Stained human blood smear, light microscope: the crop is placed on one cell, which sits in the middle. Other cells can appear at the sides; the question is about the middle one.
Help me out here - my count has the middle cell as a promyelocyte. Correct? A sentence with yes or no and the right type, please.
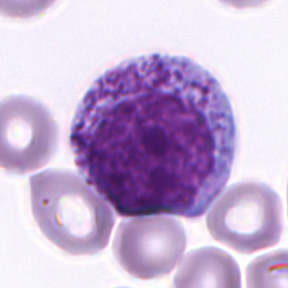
No, the central cell is classed as a myelocyte and not as a promyelocyte.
